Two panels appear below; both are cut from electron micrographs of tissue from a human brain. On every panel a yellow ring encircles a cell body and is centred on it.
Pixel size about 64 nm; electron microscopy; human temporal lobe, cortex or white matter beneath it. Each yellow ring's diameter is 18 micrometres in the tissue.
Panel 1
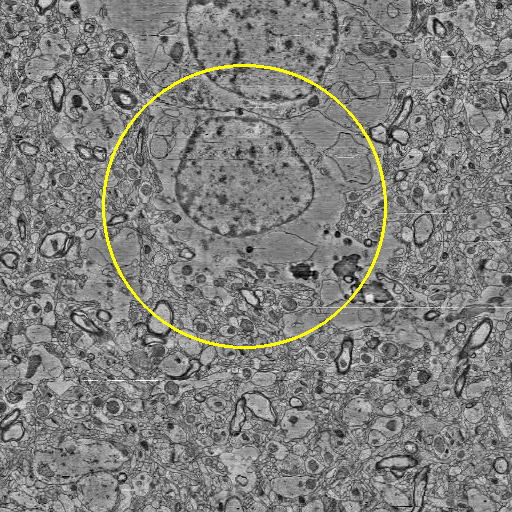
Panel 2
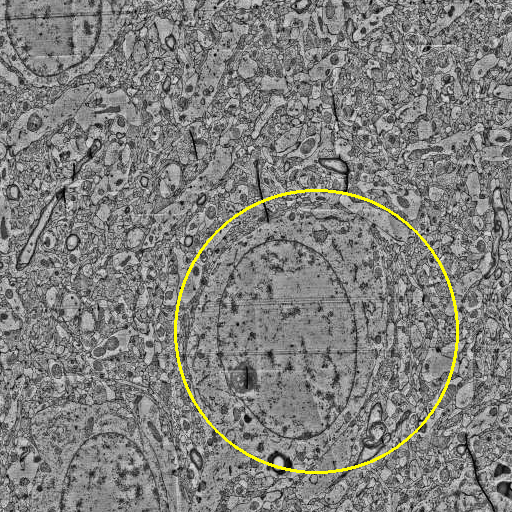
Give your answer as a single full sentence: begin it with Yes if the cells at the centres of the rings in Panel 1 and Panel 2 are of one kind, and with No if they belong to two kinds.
No, the cells in the middle of the rings in Panels 1 and 2 are of two kinds.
